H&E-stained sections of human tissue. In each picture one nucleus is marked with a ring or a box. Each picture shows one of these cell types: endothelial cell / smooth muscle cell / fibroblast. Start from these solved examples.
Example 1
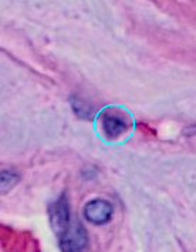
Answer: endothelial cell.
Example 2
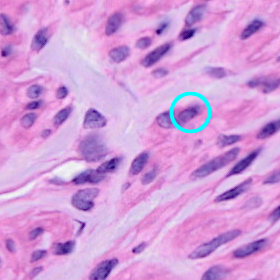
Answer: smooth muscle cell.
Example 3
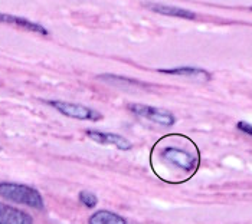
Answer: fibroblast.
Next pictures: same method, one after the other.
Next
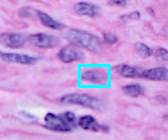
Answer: smooth muscle cell.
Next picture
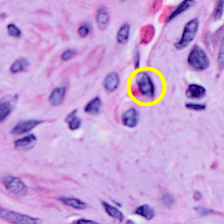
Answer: endothelial cell.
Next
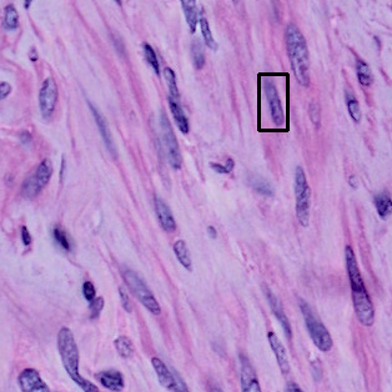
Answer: smooth muscle cell.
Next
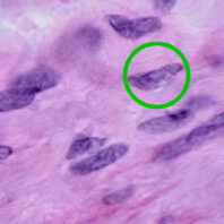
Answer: fibroblast.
